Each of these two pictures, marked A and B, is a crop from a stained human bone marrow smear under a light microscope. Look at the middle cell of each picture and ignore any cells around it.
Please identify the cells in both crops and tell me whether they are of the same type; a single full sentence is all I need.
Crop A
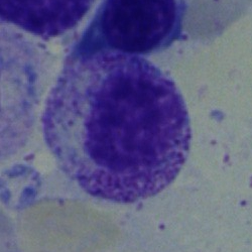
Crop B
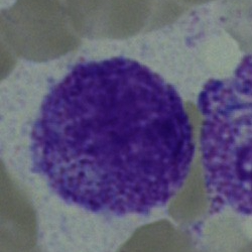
Yes, the cells placed at the centre of both crops are myelocytes.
